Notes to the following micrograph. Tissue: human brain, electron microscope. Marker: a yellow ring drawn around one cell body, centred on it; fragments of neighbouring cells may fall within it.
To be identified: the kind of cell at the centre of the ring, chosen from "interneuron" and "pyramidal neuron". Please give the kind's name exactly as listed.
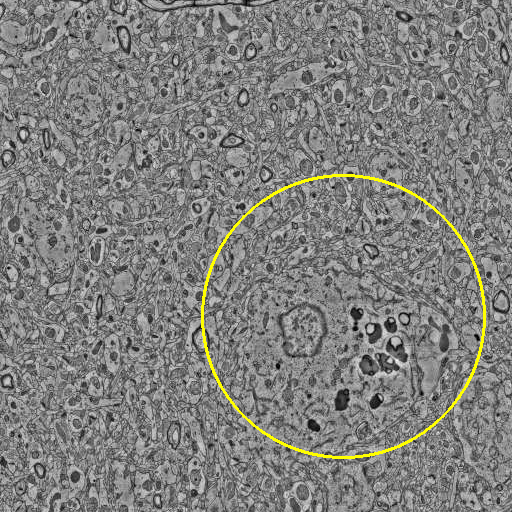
pyramidal neuron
